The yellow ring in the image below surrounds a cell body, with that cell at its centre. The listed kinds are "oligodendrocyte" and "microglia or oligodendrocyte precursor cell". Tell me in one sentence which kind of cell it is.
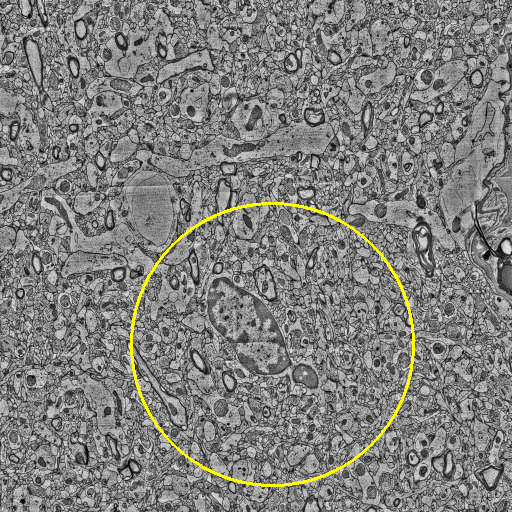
The centre of the ring holds a microglial cell or oligodendrocyte precursor cell.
